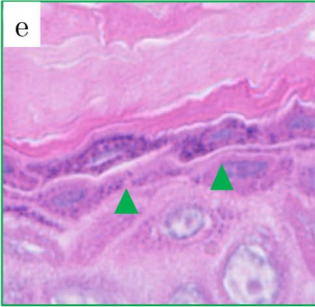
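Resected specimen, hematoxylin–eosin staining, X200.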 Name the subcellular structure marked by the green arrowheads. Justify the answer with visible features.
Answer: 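Dark purple coarse granules fill a thin row of flattened cells. This row lies directly beneath the pink anucleate surface layer. So: keratohyalin granules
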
